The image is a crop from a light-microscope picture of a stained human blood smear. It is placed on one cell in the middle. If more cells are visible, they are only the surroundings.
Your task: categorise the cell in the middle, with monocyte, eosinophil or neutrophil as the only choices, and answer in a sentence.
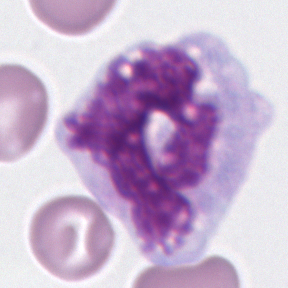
The cell at the centre of the field is a monocyte.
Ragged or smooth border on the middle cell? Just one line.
Along the periphery, ragged stretches or projections make the outline irregular.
